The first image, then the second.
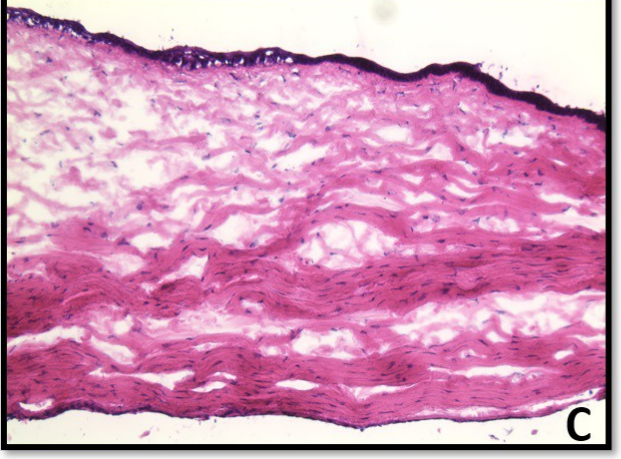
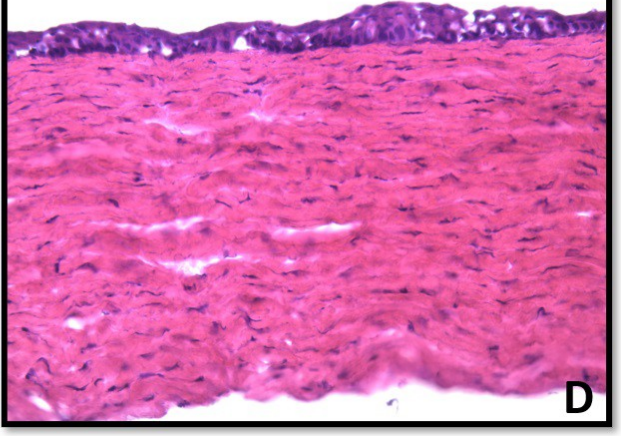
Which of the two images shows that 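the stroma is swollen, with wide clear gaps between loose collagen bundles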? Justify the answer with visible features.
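The first image. Second image: the stroma is dense and evenly pink with only a few narrow clefts. First image: the stroma is pale and riddled with large clear spaces between separated, wavy bundles.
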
